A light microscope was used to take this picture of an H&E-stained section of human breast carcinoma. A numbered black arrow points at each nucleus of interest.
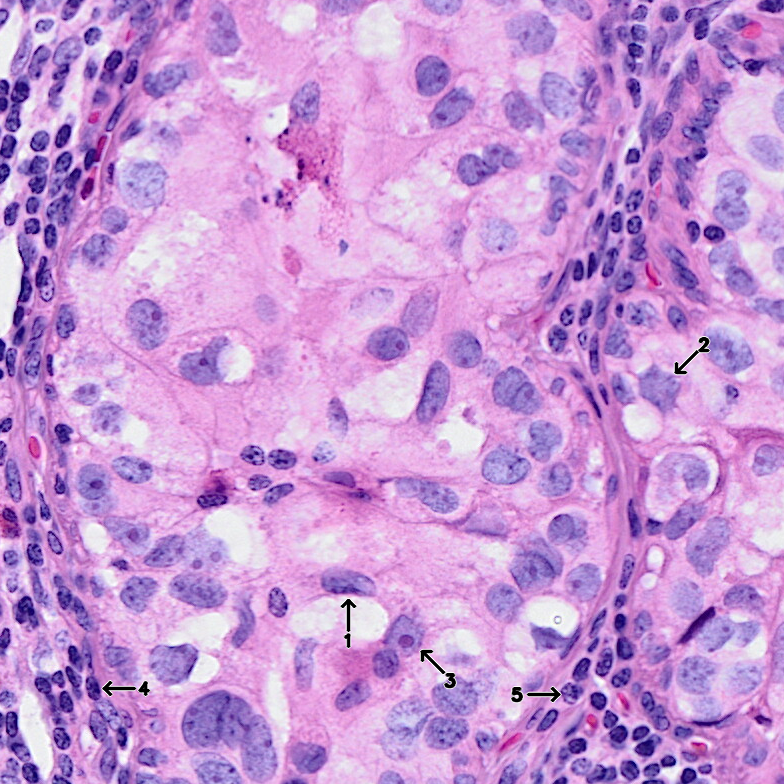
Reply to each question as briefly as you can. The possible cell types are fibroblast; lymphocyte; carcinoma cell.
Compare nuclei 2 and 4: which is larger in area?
2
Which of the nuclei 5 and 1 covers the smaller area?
5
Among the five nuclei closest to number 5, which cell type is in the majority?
lymphocyte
